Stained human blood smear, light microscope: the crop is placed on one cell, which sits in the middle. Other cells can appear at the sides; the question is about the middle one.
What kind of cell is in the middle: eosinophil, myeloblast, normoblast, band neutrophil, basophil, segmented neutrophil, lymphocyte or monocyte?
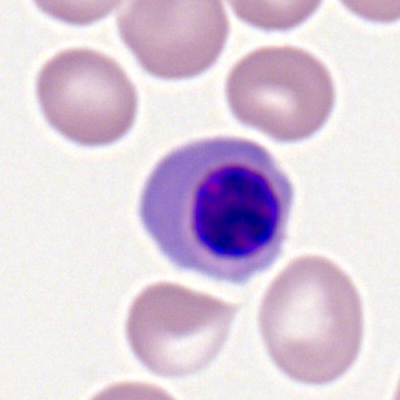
normoblast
